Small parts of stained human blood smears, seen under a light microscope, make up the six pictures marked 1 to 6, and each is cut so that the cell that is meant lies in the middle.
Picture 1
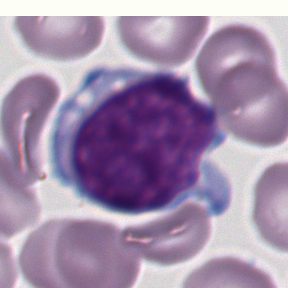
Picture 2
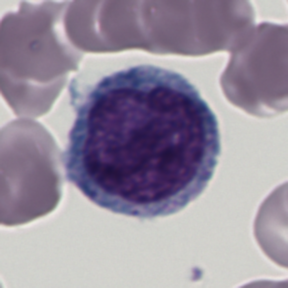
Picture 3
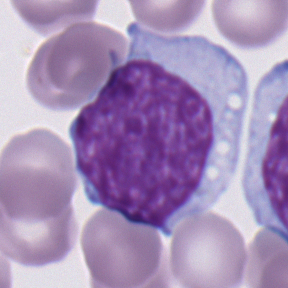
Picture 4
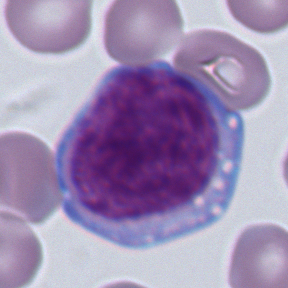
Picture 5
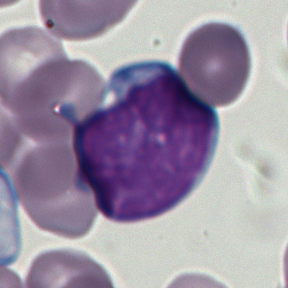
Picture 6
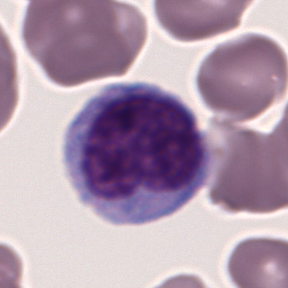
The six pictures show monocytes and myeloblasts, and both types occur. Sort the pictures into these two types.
1: myeloblast
2: monocyte
3: myeloblast
4: myeloblast
5: myeloblast
6: monocyte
